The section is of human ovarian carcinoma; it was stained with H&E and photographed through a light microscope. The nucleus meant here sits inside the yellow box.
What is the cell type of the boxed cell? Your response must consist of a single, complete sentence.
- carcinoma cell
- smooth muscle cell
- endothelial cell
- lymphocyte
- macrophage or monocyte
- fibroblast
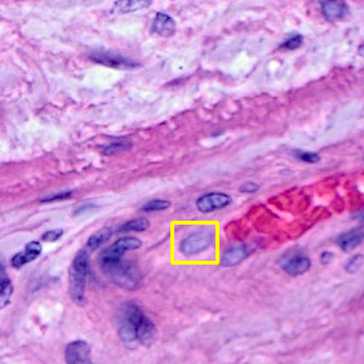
In this section of tissue, the boxed cell is an endothelial cell.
